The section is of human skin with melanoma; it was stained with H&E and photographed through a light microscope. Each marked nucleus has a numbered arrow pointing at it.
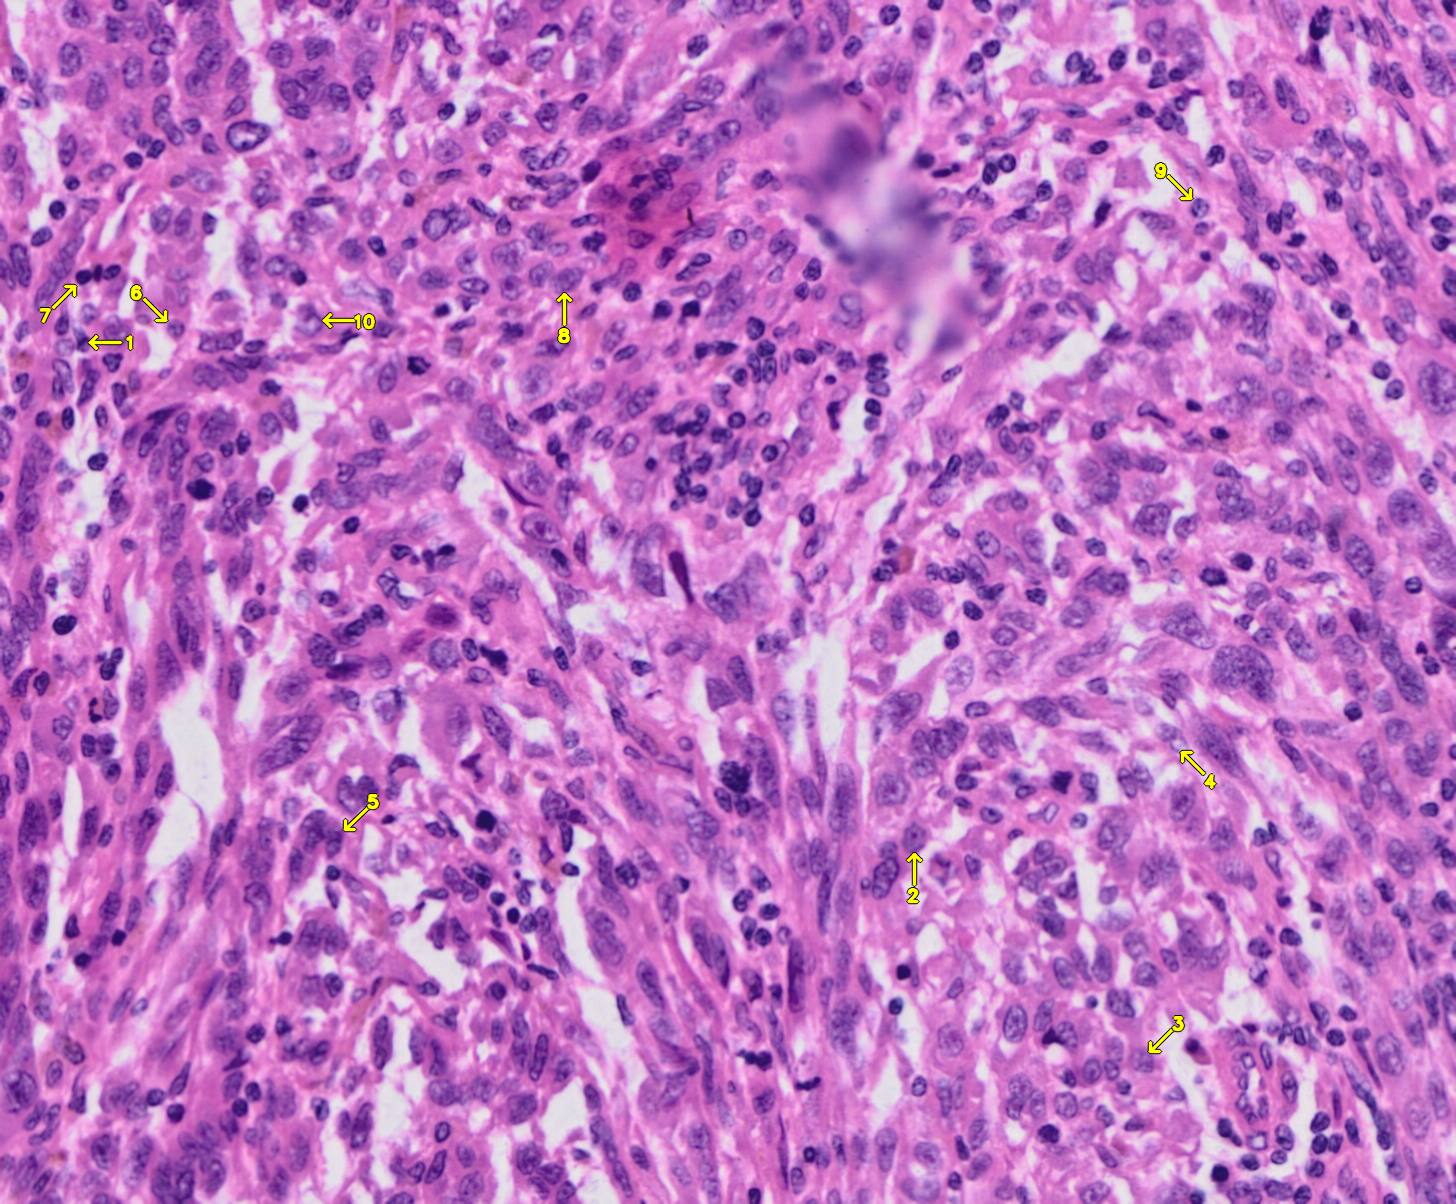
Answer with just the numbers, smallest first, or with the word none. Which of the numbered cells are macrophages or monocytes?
6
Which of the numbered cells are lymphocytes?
1, 7, 9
